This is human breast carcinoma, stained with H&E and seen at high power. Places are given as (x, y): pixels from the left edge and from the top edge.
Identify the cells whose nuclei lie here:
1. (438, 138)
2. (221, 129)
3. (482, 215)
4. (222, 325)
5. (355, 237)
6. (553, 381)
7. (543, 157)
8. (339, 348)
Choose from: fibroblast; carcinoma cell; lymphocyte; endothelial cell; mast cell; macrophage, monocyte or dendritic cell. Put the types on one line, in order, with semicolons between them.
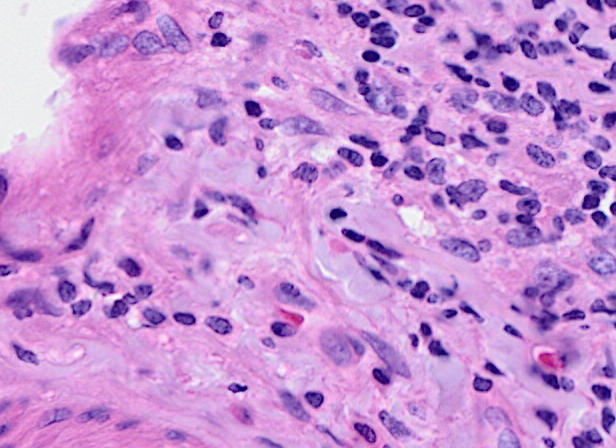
lymphocyte; mast cell; lymphocyte; mast cell; lymphocyte; lymphocyte; mast cell; endothelial cell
